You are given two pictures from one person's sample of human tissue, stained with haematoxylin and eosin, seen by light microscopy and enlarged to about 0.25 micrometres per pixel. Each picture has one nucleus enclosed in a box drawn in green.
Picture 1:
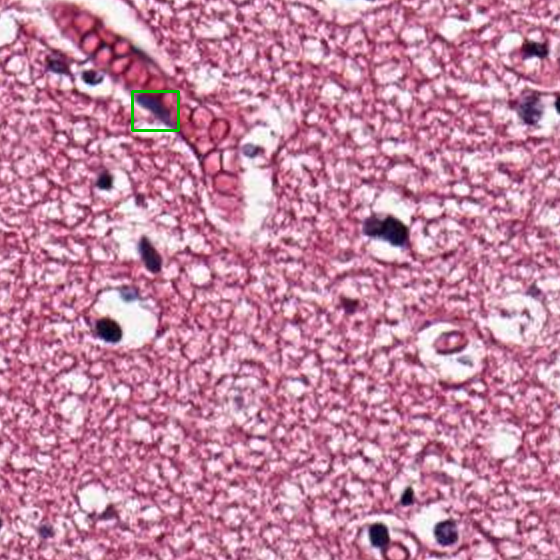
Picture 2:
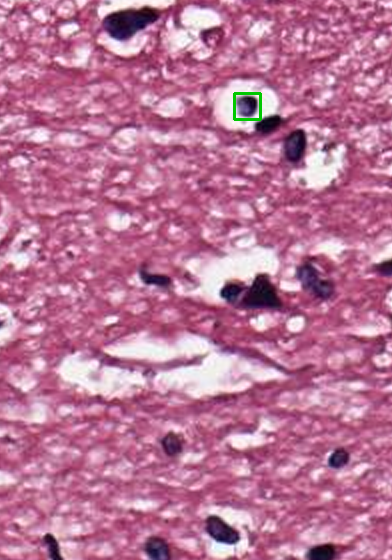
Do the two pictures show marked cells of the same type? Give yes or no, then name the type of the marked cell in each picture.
No, the first is an endothelial cell and the second an oligodendrocyte.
